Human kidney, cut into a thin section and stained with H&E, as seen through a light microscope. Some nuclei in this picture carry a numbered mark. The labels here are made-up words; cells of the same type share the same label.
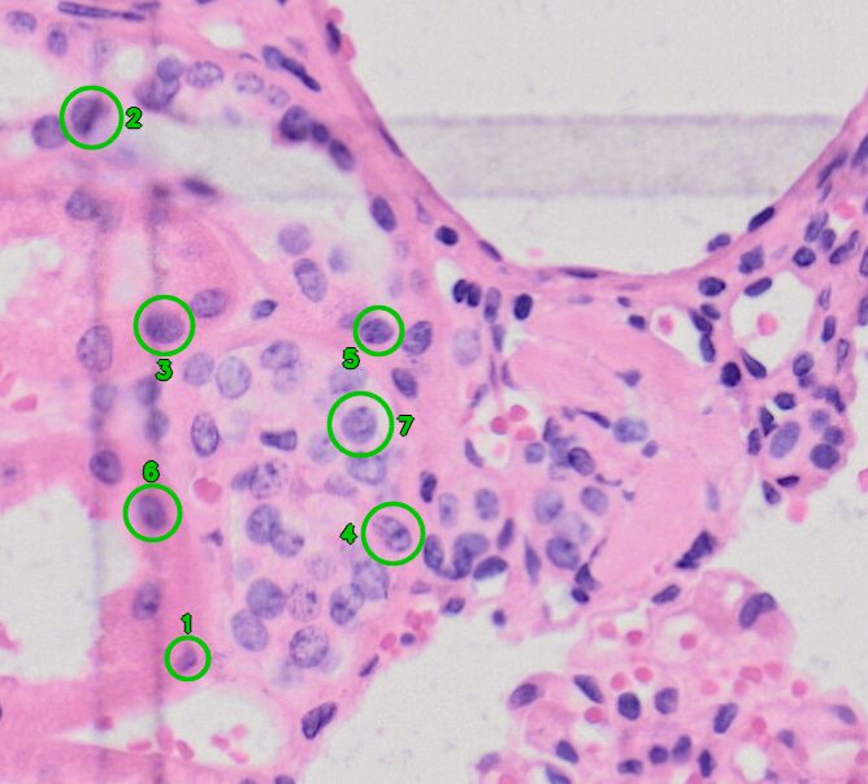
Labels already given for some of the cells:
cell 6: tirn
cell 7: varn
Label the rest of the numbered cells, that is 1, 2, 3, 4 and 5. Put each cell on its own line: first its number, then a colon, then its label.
1: tirn
2: varn
3: tirn
4: varn
5: varn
